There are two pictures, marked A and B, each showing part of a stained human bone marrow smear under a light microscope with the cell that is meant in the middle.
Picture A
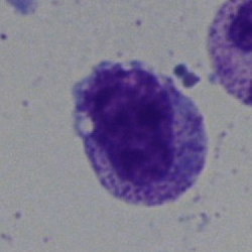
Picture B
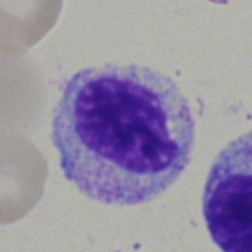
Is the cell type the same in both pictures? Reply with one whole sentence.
Yes, the two pictures both show myelocytes.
